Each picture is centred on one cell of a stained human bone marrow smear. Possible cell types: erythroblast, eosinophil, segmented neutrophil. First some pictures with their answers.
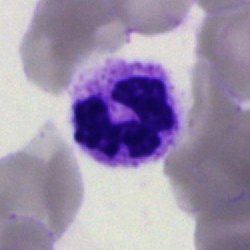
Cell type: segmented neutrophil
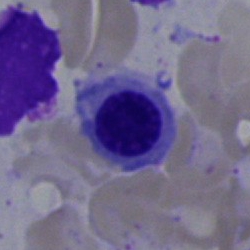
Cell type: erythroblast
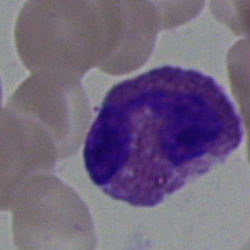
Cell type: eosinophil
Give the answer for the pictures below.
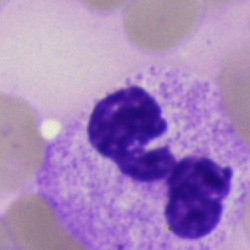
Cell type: segmented neutrophil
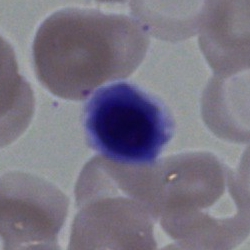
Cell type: erythroblast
